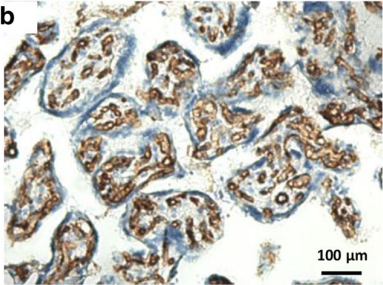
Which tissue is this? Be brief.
Placental villi.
